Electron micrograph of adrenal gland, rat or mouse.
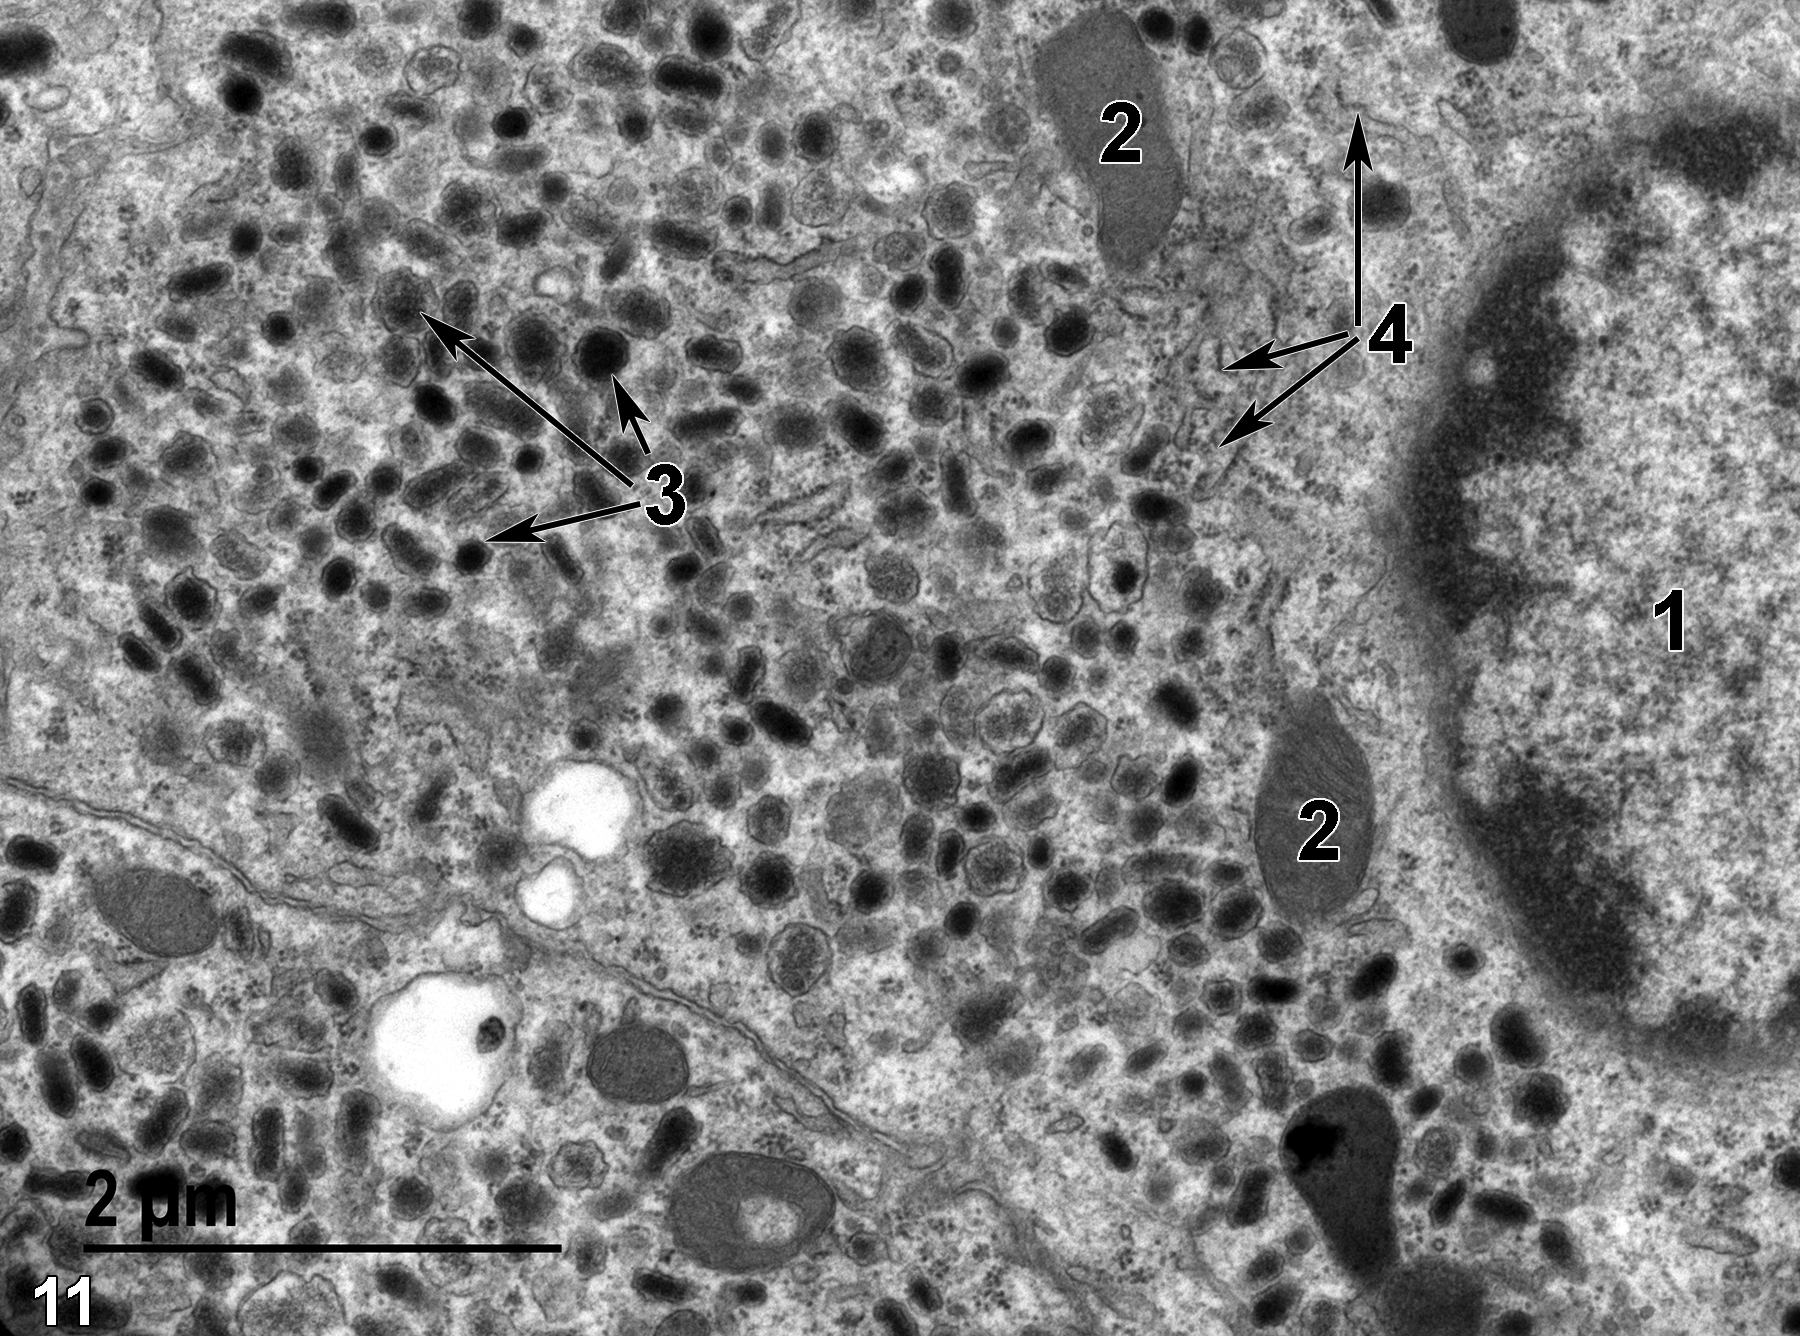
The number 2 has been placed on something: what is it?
mitochondria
